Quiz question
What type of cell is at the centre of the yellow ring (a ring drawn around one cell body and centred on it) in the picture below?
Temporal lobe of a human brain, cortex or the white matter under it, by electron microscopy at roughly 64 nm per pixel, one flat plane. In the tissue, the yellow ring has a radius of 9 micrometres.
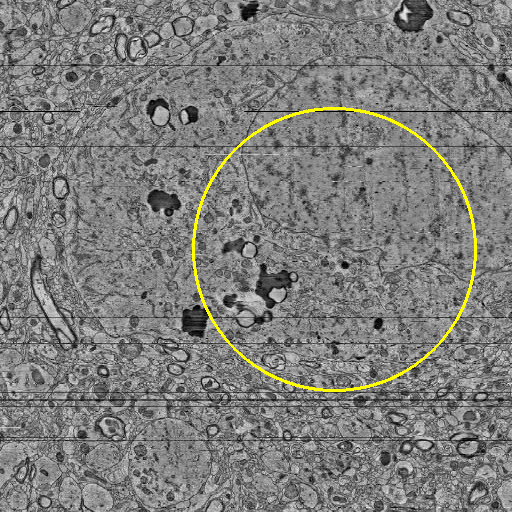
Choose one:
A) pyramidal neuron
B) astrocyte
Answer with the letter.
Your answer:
A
